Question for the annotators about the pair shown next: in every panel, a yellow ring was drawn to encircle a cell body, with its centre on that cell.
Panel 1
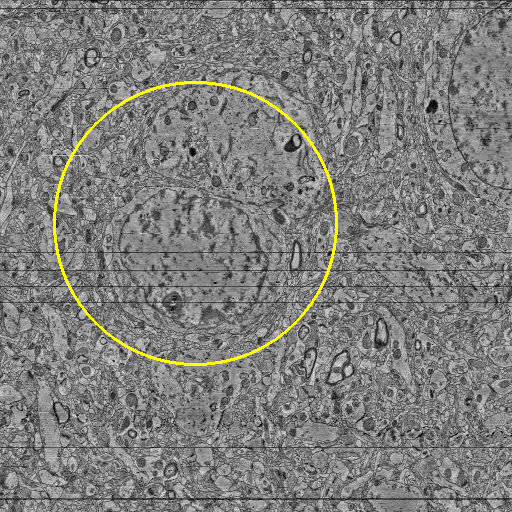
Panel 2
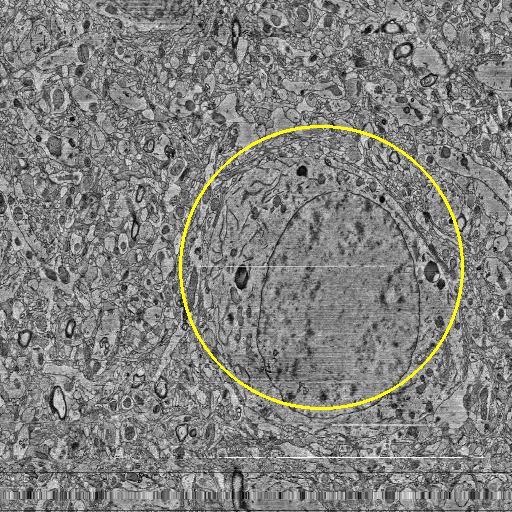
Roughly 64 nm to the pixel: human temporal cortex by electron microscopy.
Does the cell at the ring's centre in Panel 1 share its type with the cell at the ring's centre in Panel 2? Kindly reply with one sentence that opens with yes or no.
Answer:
No, in Panels 1 and 2 the cells at the ring centres belong to separate types.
